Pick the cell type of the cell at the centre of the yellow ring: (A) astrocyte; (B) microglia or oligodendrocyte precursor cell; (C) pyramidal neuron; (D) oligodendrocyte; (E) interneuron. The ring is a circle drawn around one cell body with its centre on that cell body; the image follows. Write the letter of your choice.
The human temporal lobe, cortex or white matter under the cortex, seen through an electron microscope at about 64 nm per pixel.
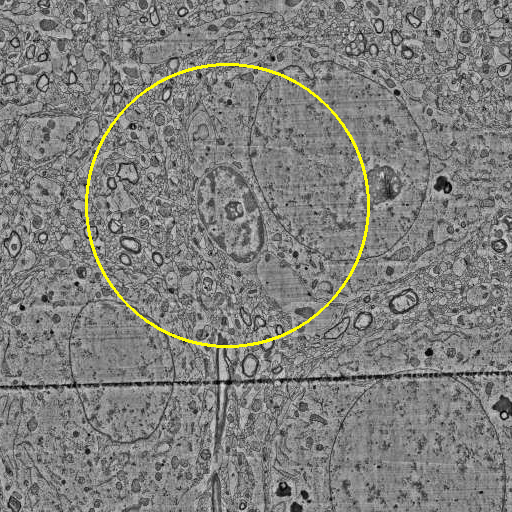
D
